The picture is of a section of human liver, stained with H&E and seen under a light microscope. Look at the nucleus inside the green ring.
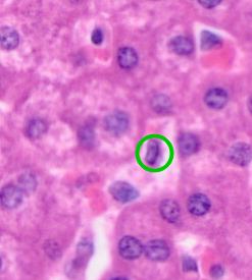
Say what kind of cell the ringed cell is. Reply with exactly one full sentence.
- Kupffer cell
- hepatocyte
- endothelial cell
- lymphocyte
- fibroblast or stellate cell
By cell type, the ringed cell is a Kupffer cell.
